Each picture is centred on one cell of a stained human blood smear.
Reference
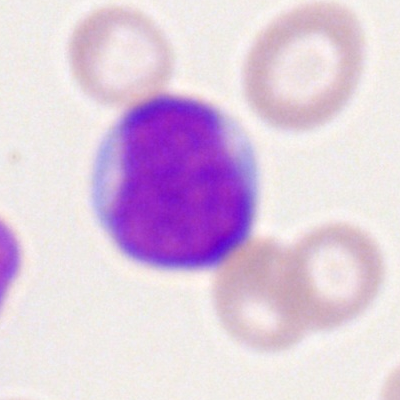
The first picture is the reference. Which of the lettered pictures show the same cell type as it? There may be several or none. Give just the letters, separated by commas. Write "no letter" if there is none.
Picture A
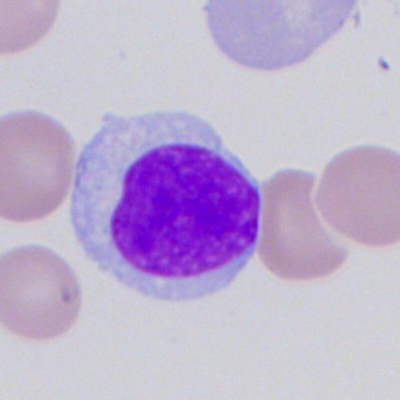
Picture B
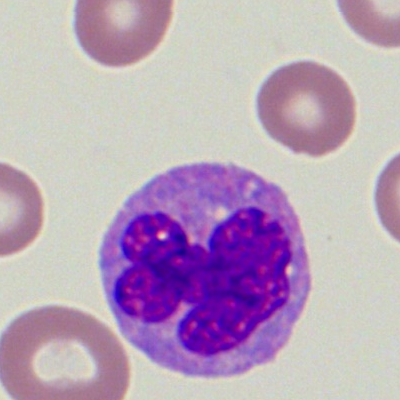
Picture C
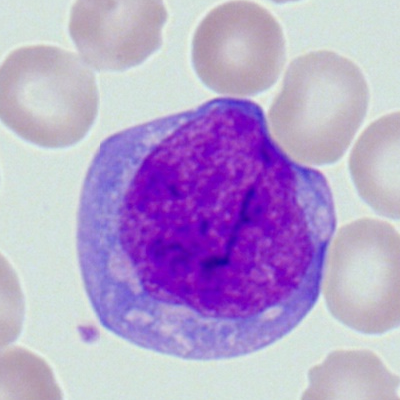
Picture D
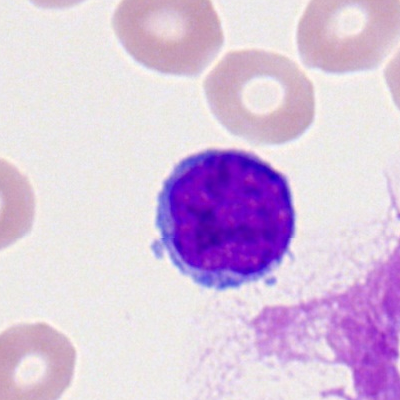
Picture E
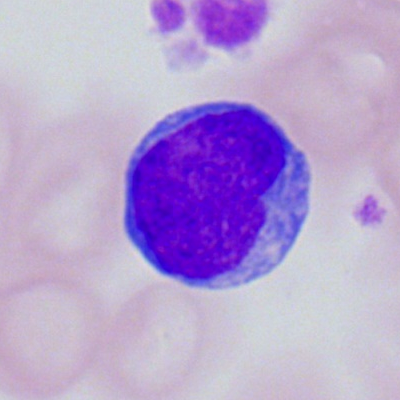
C, E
